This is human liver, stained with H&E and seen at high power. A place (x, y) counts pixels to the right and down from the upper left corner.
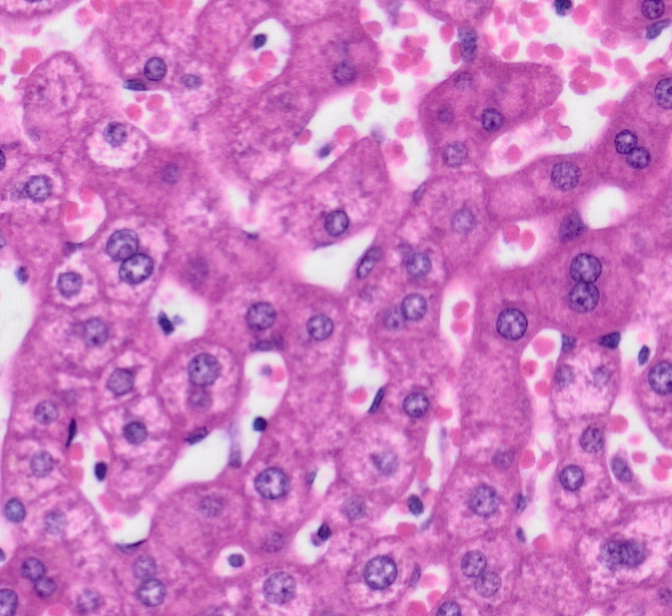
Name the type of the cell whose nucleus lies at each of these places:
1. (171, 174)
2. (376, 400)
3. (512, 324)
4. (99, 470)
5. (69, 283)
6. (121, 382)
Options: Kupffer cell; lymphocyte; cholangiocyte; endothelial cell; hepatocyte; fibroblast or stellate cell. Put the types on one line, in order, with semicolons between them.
hepatocyte; endothelial cell; hepatocyte; lymphocyte; hepatocyte; hepatocyte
